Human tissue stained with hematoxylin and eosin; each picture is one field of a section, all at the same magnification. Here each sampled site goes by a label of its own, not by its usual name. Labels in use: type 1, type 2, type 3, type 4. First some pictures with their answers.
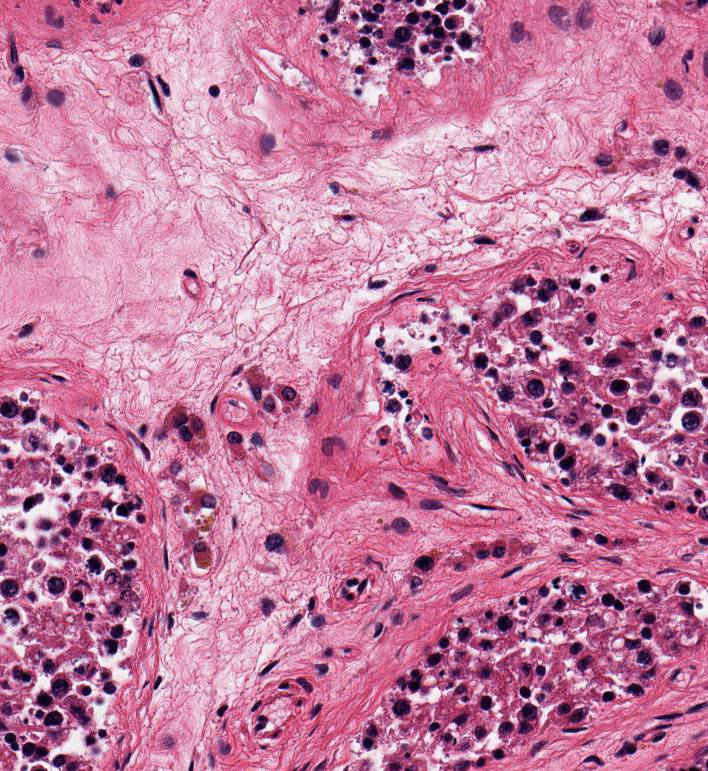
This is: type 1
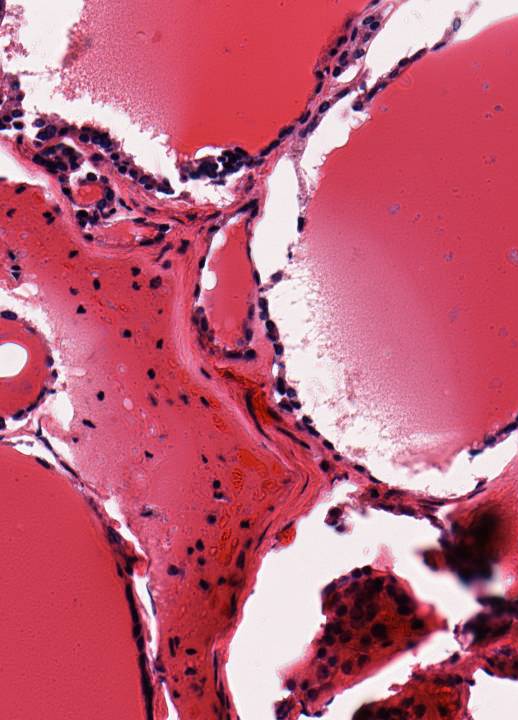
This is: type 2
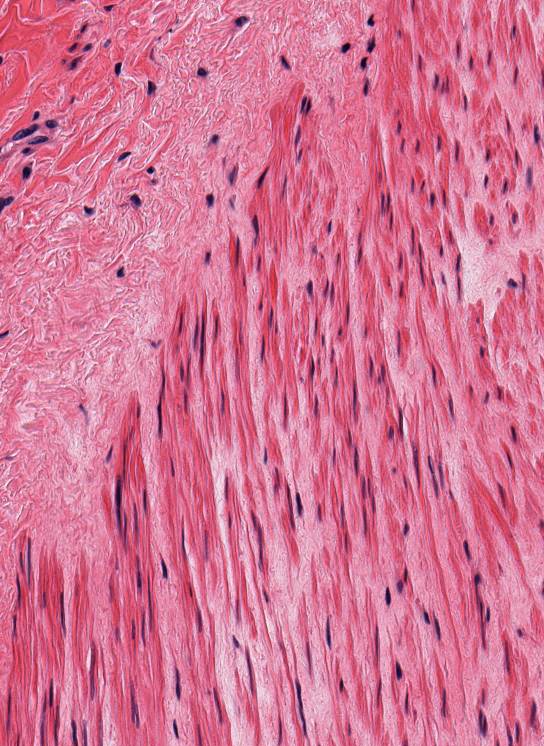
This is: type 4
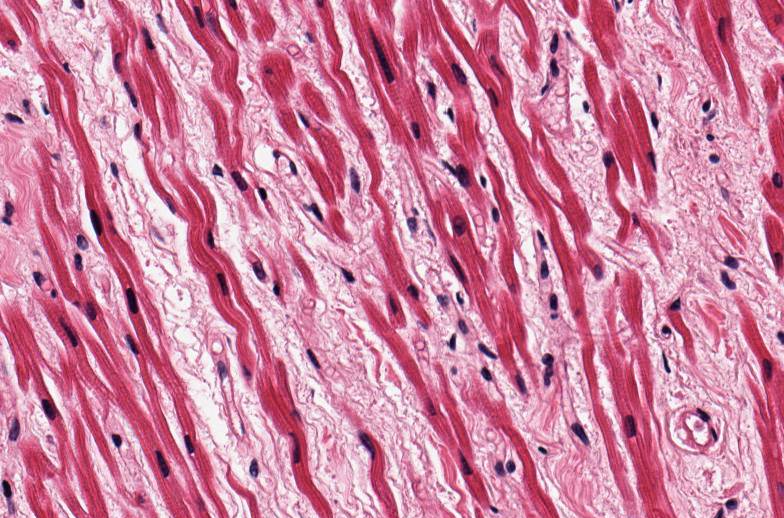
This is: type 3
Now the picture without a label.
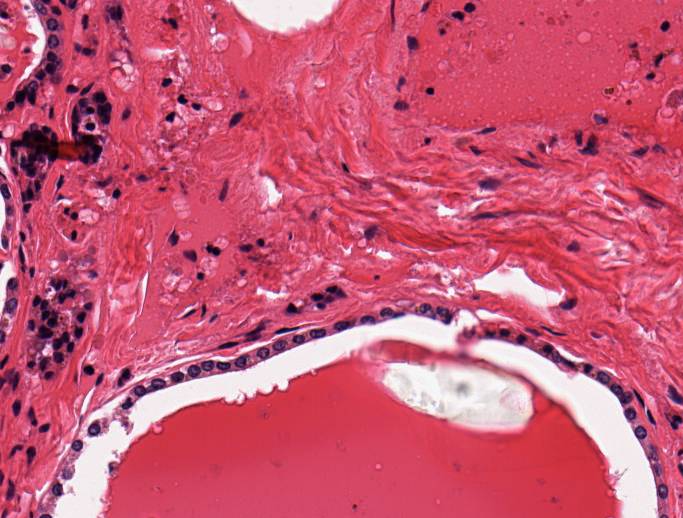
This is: type 2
